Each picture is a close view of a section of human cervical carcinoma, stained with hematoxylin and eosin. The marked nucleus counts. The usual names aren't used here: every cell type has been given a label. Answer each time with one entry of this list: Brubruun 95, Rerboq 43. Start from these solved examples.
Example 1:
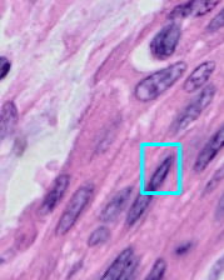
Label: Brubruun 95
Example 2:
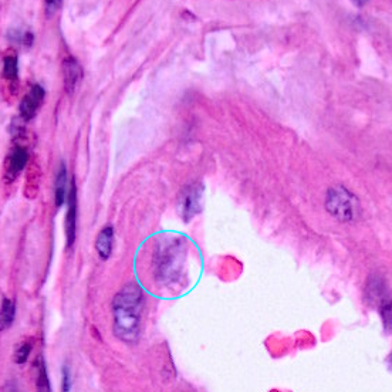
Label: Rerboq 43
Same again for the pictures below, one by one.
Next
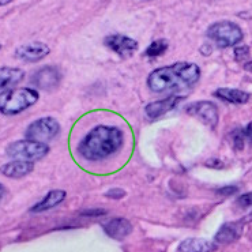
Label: Brubruun 95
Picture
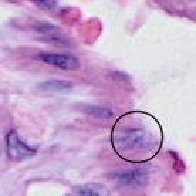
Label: Rerboq 43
